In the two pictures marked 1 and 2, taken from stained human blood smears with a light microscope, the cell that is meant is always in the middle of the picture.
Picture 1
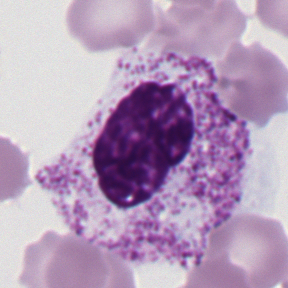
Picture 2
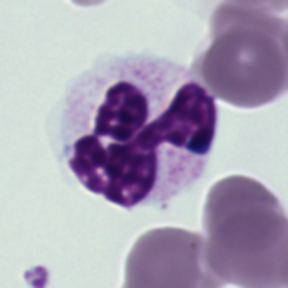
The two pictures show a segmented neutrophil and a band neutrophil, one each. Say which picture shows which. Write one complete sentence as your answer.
In picture 1 the cell is a band neutrophil; in picture 2, a segmented neutrophil.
